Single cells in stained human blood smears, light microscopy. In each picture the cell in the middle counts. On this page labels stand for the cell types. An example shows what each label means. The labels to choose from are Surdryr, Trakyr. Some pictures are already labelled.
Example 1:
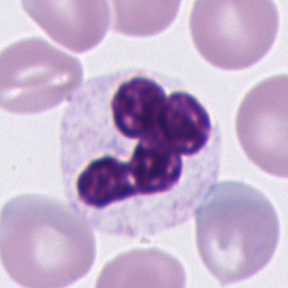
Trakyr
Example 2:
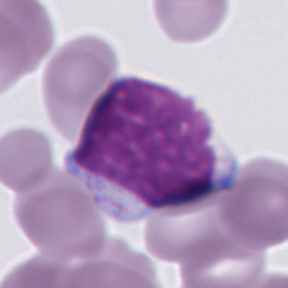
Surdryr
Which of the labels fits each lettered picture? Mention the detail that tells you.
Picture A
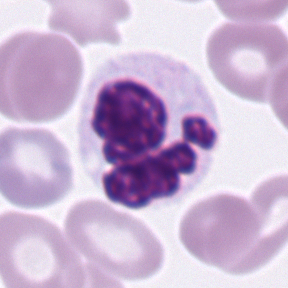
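Trakyr. The cytoplasm is plentiful and pale lilac-pink.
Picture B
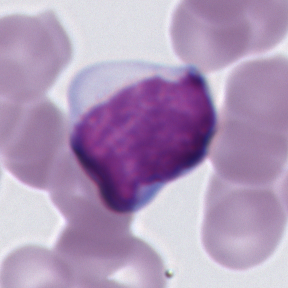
Surdryr. The cytoplasm is scant compared with the nucleus.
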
